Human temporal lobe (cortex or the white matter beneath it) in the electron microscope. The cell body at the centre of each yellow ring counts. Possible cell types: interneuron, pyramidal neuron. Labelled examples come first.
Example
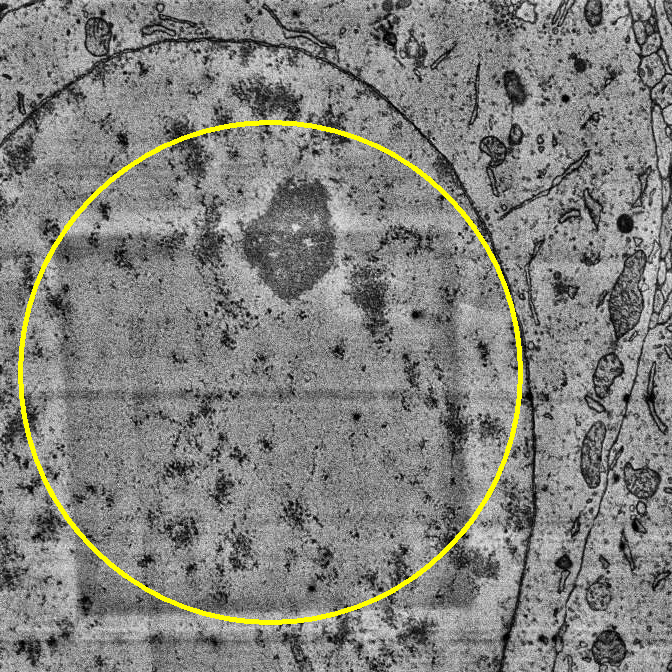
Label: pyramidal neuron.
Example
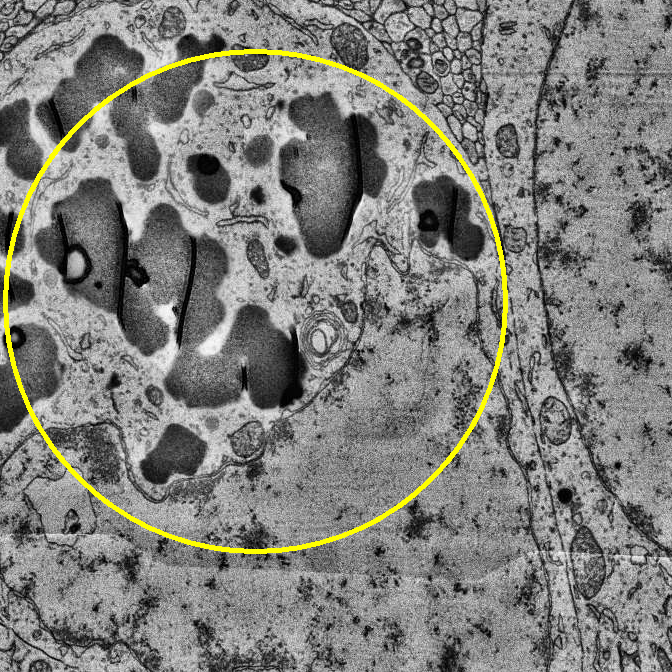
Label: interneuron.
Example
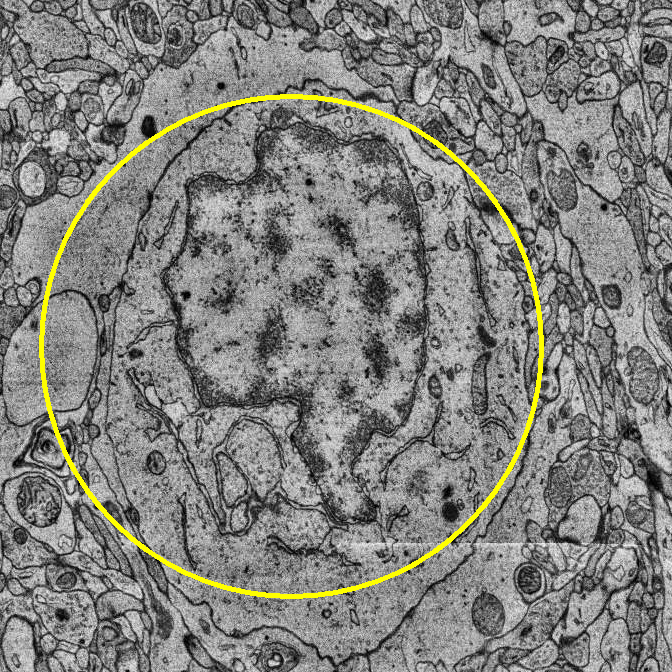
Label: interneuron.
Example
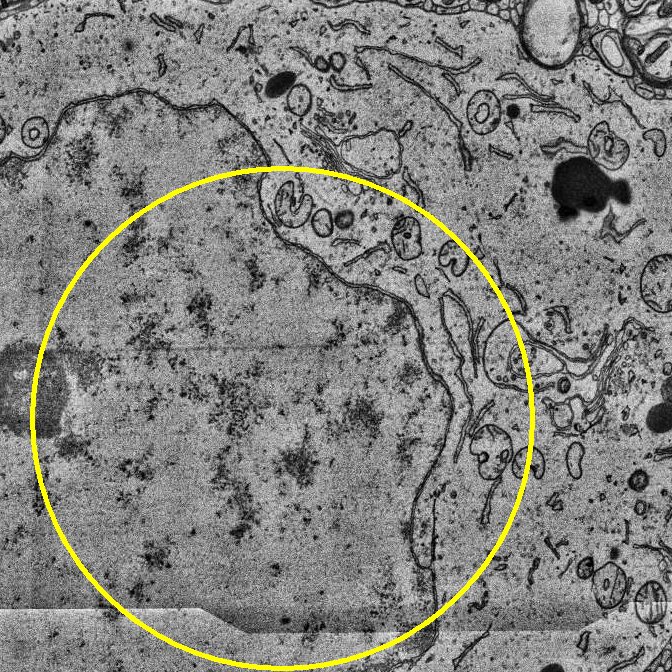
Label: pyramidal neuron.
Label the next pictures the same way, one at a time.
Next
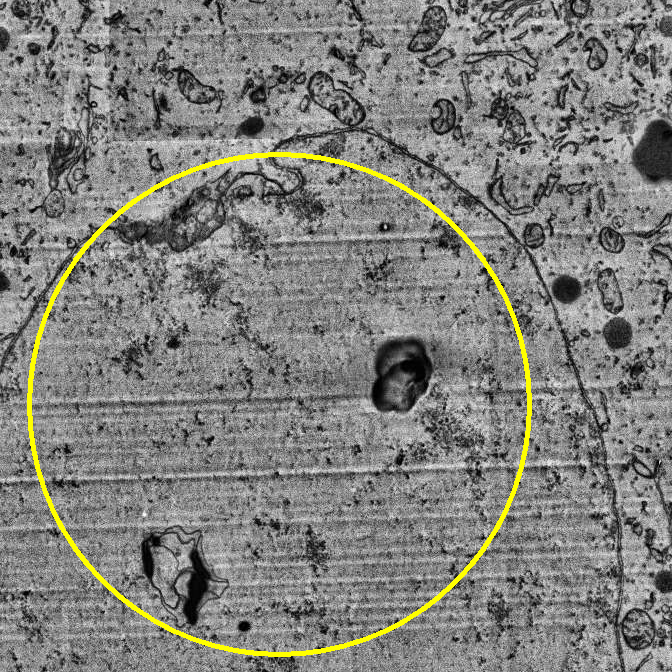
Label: pyramidal neuron.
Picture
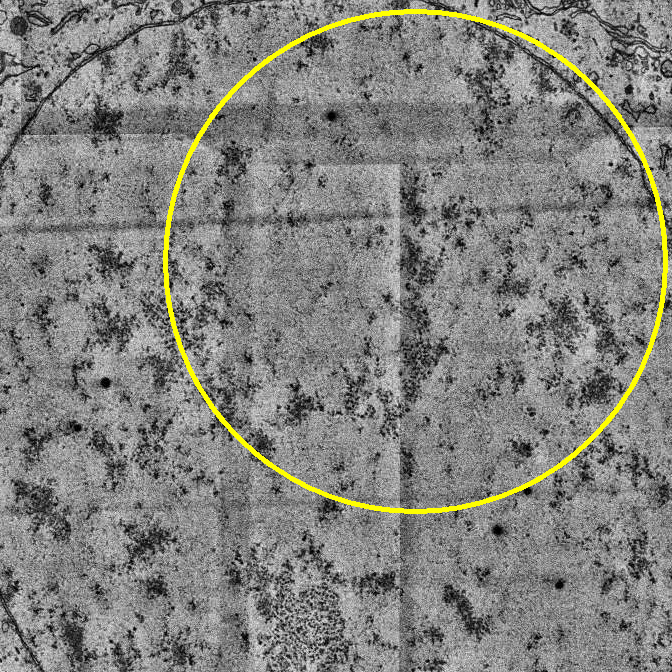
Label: pyramidal neuron.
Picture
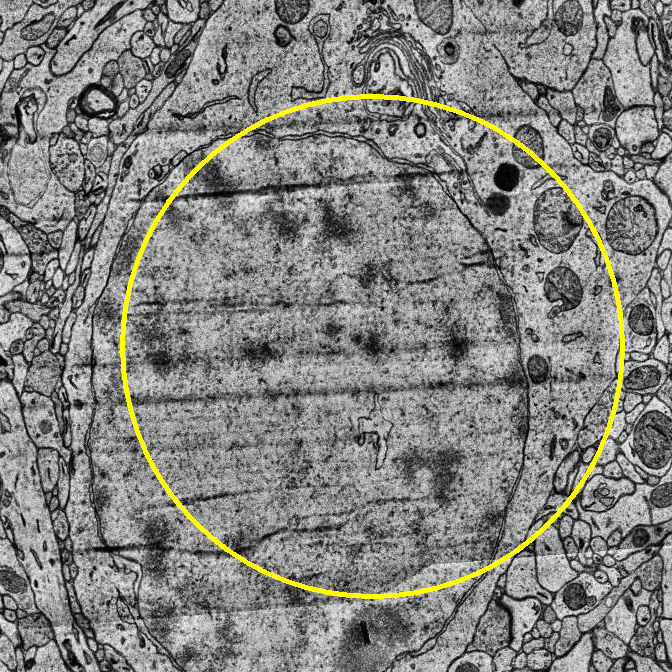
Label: interneuron.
